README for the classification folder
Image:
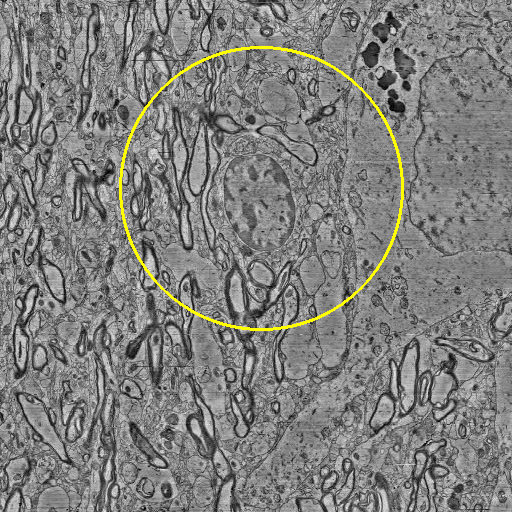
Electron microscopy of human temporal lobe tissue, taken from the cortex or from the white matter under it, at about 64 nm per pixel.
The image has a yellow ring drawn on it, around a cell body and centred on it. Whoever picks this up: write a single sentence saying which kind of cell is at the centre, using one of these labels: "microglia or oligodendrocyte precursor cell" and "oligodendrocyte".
This cell body is that of a microglial cell or oligodendrocyte precursor cell.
